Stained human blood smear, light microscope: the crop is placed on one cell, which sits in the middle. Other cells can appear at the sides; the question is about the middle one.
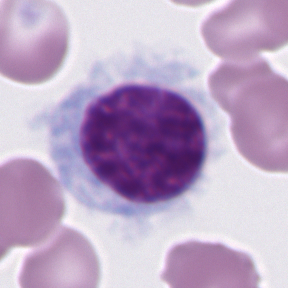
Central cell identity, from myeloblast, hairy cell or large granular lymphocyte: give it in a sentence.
In the center of this field lies a hairy cell.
